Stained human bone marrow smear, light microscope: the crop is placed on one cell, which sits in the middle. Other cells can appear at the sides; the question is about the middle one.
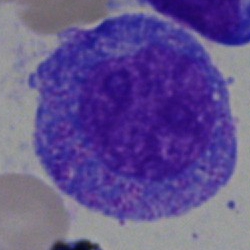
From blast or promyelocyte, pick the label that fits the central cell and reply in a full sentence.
Regarding the central cell, it is a promyelocyte.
